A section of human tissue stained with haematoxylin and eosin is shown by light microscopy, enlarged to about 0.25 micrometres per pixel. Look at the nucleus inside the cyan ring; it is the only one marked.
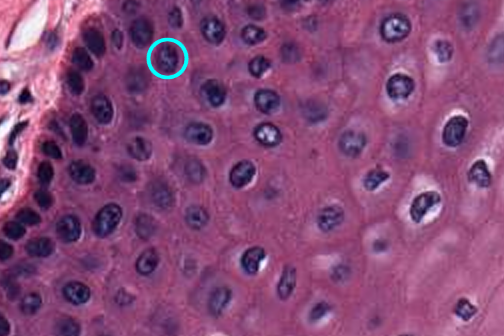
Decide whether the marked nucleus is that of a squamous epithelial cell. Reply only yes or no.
yes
